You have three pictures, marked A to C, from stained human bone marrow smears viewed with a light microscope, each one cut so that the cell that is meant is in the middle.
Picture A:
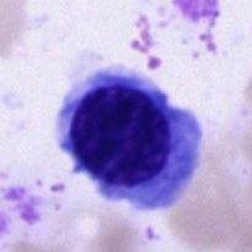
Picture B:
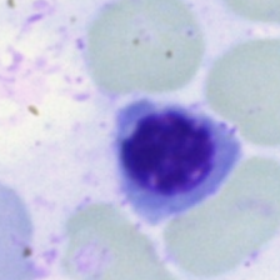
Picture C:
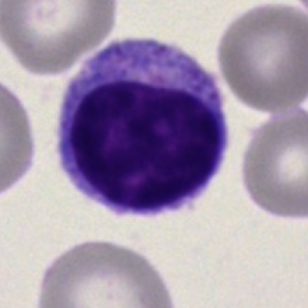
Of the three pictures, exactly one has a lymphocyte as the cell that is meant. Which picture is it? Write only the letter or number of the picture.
C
